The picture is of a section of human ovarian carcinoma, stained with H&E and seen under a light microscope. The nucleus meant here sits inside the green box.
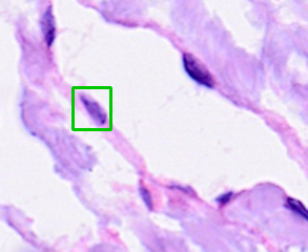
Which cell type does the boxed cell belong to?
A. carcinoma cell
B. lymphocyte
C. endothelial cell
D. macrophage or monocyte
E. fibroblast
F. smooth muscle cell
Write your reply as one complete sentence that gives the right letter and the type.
In keeping with option C, the boxed cell is an endothelial cell.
